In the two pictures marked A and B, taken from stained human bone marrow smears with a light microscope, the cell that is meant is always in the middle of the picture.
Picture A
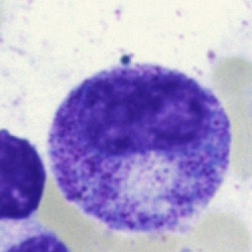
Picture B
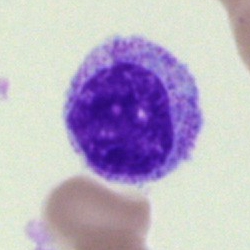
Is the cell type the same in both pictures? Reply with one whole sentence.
Yes, the two pictures both show myelocytes.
